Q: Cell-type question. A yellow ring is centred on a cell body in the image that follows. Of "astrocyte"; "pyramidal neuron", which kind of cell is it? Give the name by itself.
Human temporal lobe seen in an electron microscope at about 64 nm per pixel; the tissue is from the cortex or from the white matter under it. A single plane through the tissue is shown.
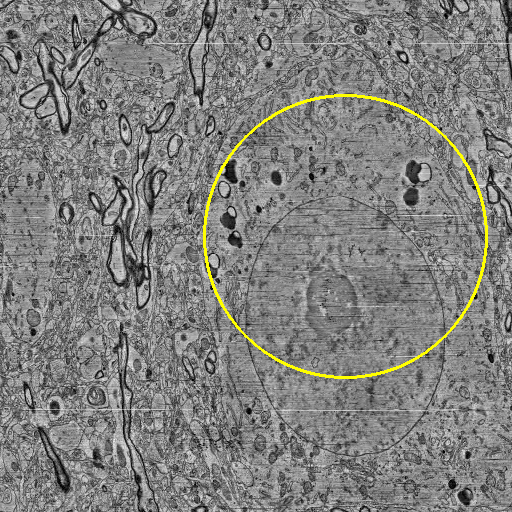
pyramidal neuron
